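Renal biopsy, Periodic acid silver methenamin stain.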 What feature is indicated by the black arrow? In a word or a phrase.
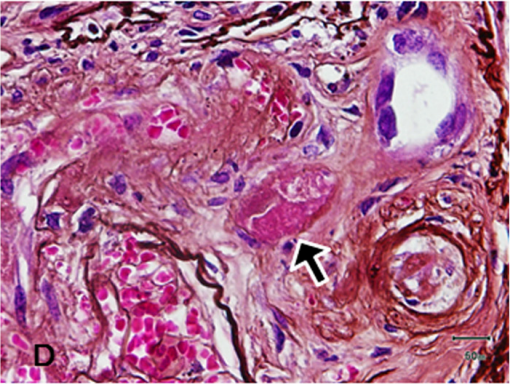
intraluminal thrombus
